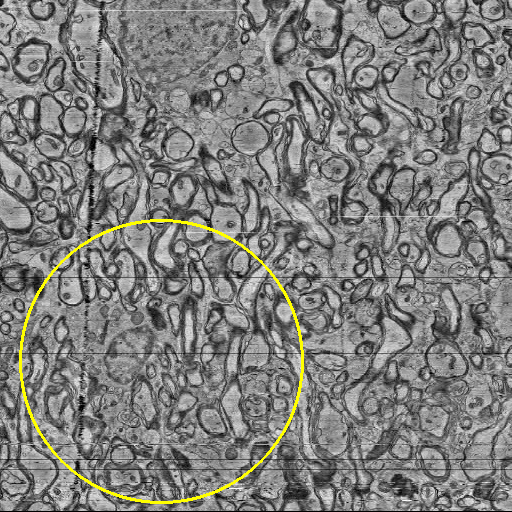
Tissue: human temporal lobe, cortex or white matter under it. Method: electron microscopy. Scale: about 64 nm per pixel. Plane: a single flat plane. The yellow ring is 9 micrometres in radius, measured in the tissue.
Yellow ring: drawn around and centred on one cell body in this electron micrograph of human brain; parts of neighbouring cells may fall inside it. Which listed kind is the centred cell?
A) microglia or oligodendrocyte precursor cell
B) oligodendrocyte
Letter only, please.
B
